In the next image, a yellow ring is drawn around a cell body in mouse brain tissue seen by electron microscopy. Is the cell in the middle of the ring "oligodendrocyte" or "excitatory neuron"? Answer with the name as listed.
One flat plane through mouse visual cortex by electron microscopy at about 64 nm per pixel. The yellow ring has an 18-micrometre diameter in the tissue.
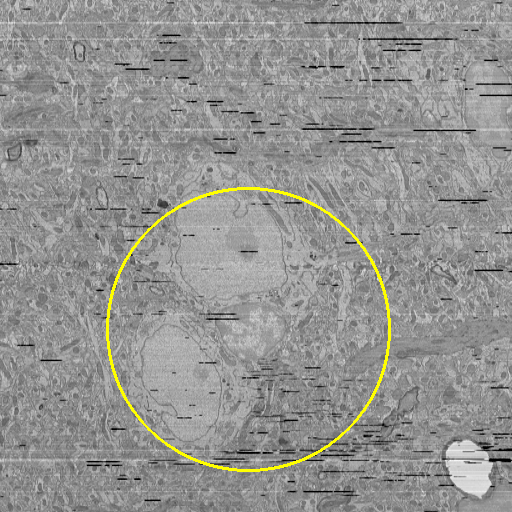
oligodendrocyte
